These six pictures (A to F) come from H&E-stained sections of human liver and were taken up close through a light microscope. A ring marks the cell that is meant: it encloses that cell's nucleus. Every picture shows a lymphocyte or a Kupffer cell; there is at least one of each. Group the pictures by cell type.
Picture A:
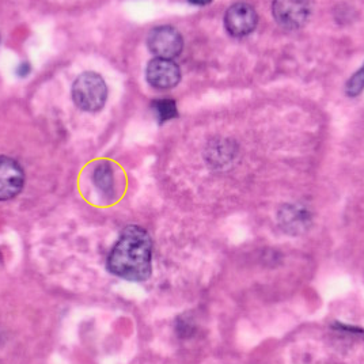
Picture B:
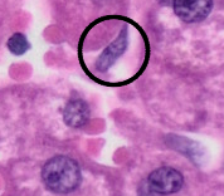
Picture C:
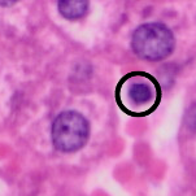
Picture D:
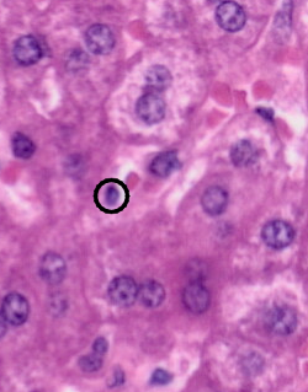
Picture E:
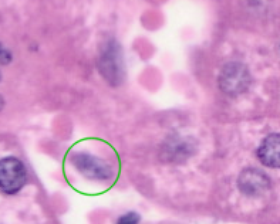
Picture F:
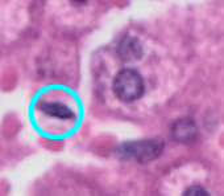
A: Kupffer cell
B: Kupffer cell
C: lymphocyte
D: lymphocyte
E: Kupffer cell
F: lymphocyte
